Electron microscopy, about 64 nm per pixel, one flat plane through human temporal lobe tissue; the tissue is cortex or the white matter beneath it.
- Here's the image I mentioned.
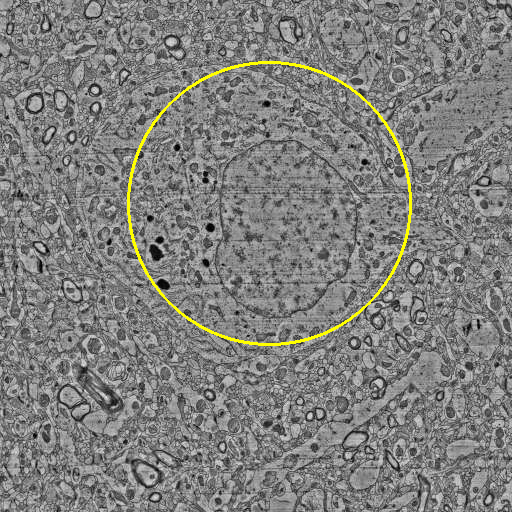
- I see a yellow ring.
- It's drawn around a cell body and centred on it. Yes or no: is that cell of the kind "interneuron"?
yes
